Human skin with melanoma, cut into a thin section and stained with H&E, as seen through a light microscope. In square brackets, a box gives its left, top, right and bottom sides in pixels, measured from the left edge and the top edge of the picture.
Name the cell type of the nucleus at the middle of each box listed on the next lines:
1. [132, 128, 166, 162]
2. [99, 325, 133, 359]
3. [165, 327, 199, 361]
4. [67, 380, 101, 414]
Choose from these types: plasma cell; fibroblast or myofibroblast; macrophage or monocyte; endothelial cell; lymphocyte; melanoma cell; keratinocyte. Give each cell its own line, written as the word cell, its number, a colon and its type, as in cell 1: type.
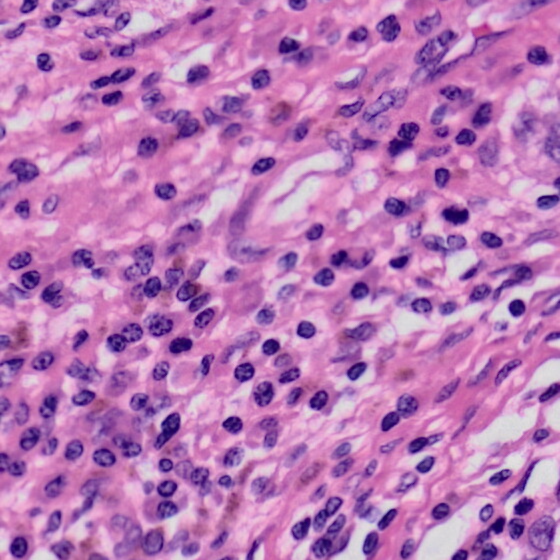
cell 1: plasma cell
cell 2: plasma cell
cell 3: plasma cell
cell 4: lymphocyte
